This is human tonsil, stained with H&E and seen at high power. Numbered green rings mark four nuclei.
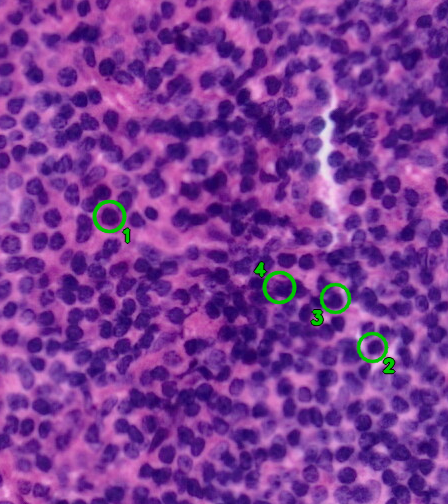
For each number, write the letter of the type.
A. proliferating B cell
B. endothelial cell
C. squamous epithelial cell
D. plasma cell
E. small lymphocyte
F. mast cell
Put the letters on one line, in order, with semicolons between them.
D; E; E; E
